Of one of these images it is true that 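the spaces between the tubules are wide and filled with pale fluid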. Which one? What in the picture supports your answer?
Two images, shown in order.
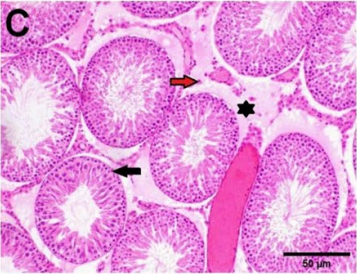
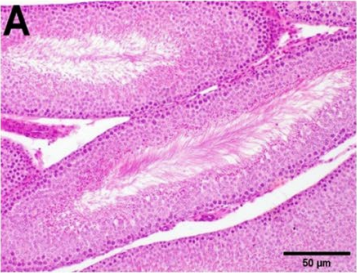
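First image: tubules are separated by broad spaces holding pale pink material. Second image: tubules lie close together with only thin spaces between them.
Hence: the first image.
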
